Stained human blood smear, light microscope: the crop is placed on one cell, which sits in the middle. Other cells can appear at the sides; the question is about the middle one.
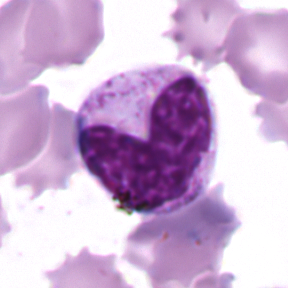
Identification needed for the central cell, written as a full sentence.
The central cell in this smear crop is a band neutrophil.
